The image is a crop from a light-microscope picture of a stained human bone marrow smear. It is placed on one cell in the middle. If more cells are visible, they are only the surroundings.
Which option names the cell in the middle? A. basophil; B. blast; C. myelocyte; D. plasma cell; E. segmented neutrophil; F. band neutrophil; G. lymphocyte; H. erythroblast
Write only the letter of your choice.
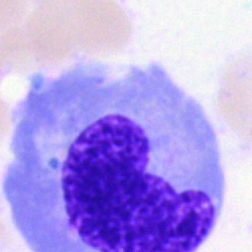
H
